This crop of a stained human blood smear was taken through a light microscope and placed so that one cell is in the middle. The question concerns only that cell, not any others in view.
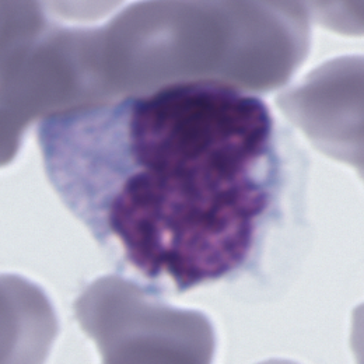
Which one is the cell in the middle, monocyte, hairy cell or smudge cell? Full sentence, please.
The middle position in this crop is taken by a monocyte.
